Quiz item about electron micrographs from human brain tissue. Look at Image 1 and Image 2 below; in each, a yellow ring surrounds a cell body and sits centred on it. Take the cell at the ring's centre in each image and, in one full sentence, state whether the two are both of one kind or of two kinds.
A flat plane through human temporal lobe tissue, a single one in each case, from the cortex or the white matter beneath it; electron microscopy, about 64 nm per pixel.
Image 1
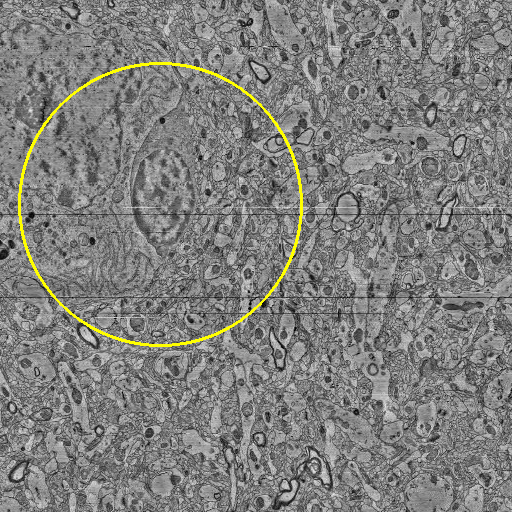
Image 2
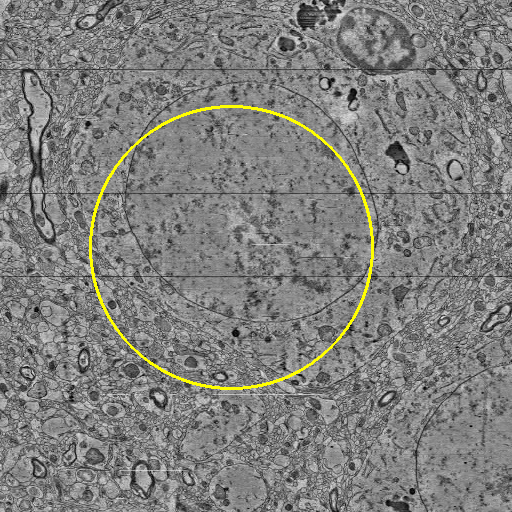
In Image 1 and Image 2, the cells at the ring centres are of two kinds.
